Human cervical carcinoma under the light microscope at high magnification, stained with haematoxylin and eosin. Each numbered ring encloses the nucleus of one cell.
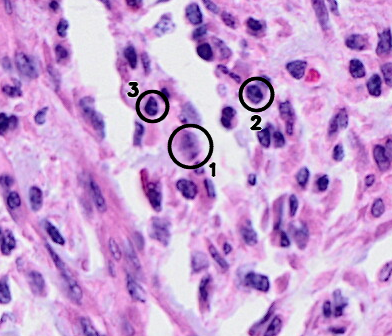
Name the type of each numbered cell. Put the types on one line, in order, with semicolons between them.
macrophage or monocyte; lymphocyte; lymphocyte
